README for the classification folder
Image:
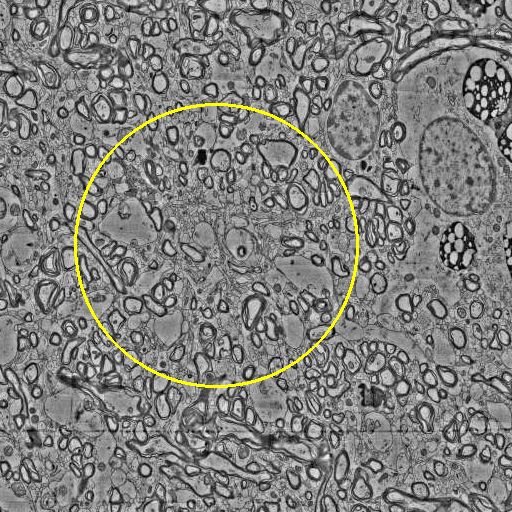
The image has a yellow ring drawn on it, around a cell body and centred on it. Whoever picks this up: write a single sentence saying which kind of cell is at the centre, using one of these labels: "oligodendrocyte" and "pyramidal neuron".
This cell body is that of an oligodendrocyte.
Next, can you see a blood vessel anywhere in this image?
No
